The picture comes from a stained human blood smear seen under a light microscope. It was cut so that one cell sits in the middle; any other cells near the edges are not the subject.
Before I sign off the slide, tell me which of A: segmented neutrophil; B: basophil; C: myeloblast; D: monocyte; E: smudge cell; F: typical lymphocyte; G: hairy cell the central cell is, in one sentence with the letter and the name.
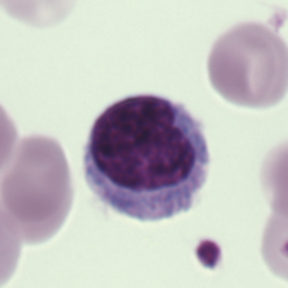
The correct option, D, names the middle cell as a monocyte.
